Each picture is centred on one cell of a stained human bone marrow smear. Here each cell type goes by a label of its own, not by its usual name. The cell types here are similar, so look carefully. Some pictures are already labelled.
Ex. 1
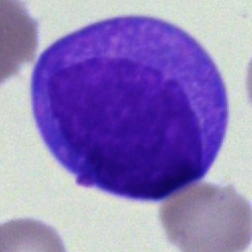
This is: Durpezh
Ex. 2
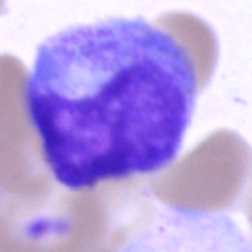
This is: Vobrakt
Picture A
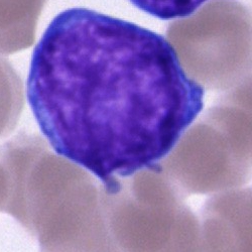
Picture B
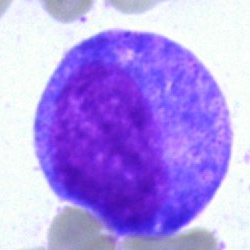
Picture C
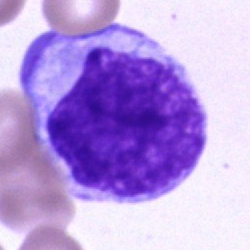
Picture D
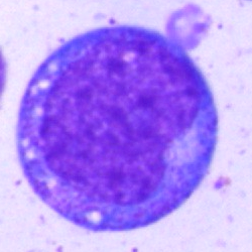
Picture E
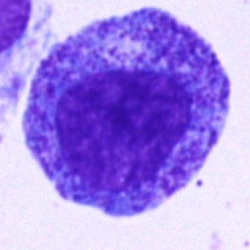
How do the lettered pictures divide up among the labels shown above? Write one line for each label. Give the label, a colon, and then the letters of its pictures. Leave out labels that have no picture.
Durpezh: A, C
Vobrakt: B, D, E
